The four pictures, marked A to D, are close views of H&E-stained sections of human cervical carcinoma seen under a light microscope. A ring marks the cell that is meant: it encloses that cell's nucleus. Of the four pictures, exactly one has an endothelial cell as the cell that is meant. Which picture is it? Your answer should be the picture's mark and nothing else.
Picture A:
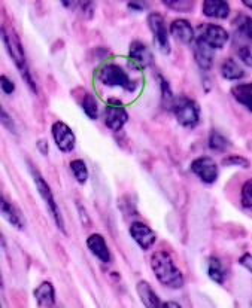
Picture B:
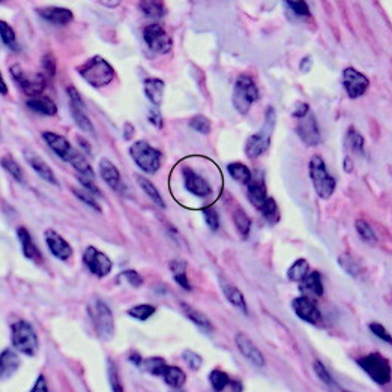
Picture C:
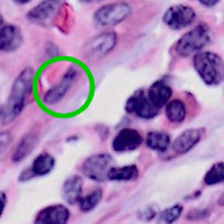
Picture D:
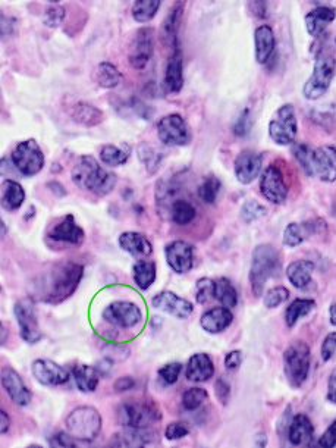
C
